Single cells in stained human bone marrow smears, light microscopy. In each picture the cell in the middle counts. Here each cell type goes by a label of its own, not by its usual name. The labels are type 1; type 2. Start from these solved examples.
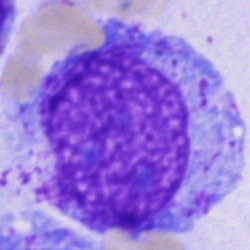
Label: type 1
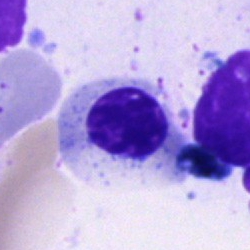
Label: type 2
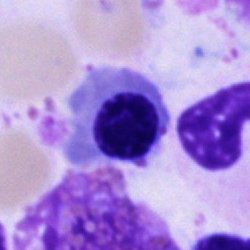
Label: type 2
